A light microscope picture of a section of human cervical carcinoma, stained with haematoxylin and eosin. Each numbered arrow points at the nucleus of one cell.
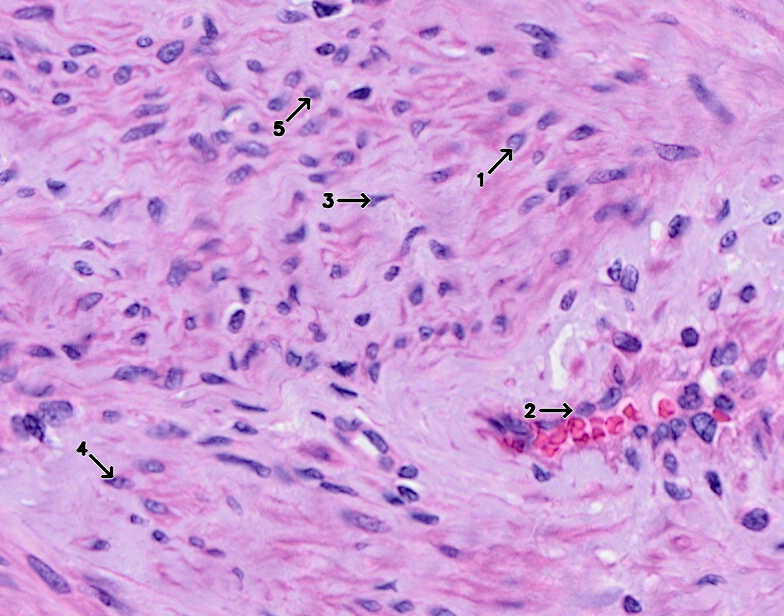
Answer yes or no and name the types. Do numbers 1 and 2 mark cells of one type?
No, cell 1 is a smooth muscle cell and cell 2 is an endothelial cell.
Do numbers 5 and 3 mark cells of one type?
No, cell 5 is a smooth muscle cell and cell 3 is a fibroblast.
